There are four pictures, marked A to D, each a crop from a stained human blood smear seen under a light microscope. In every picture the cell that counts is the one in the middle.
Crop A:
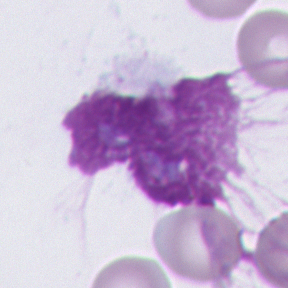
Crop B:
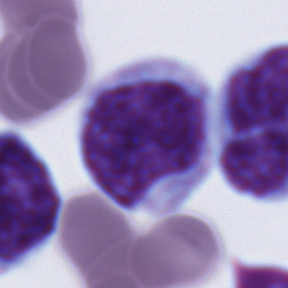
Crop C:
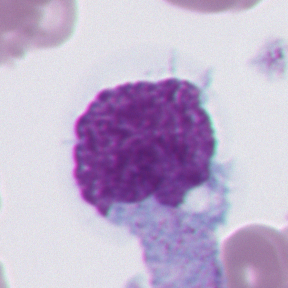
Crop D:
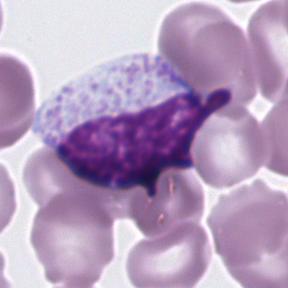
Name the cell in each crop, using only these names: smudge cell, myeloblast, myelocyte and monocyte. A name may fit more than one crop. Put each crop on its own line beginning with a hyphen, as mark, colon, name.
- A: smudge cell
- B: monocyte
- C: monocyte
- D: myelocyte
